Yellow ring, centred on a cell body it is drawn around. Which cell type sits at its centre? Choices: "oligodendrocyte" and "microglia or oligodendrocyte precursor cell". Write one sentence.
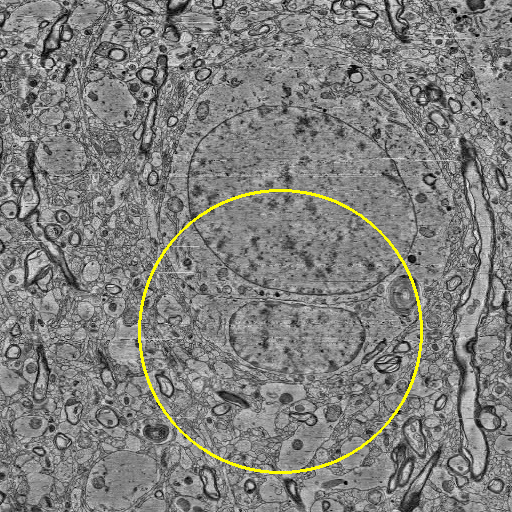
At the centre of the ring sits a microglial cell or oligodendrocyte precursor cell.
